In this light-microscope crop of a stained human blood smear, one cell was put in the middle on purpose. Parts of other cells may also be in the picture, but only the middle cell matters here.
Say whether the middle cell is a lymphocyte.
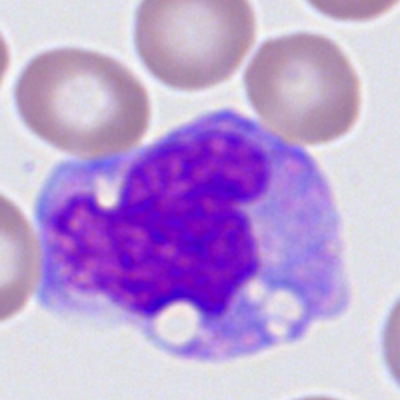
no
